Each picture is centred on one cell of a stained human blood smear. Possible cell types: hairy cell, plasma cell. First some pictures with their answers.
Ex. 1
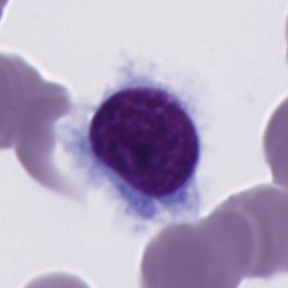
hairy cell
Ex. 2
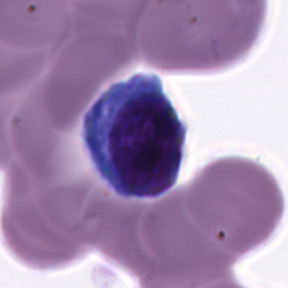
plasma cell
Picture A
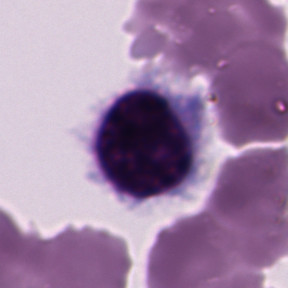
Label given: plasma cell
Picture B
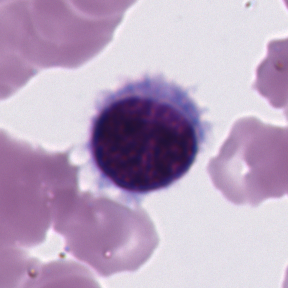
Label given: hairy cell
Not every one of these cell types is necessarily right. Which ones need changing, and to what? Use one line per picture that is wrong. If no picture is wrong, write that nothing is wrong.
A: hairy cell, not plasma cell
